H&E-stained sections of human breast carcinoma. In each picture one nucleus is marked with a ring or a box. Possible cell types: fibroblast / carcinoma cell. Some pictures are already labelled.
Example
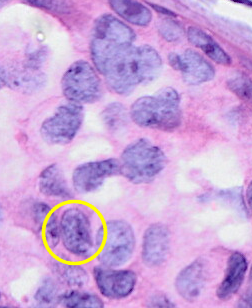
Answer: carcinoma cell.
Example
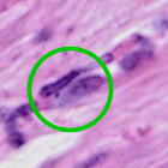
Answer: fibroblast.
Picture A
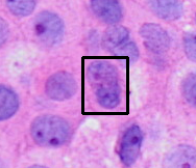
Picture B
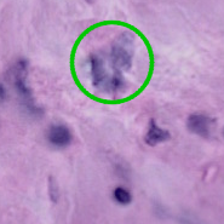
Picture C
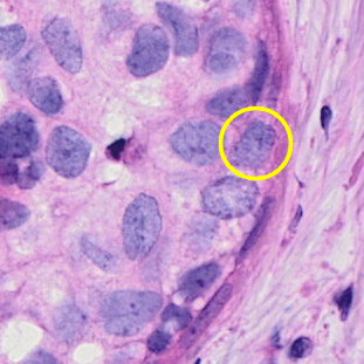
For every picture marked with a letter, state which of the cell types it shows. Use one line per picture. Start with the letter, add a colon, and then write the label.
A: carcinoma cell.
B: fibroblast.
C: carcinoma cell.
